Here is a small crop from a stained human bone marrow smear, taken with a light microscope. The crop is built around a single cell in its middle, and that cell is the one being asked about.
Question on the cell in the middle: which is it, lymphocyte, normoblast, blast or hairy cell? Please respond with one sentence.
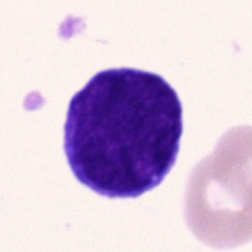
The cell centred in this crop is categorized as a blast.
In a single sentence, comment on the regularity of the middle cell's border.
There are no projections here; the outline is simply smooth.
